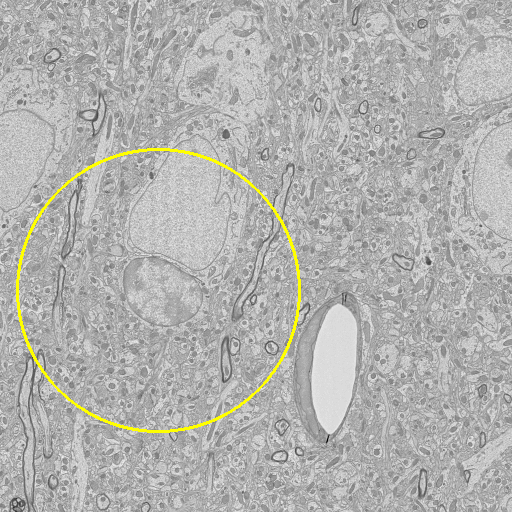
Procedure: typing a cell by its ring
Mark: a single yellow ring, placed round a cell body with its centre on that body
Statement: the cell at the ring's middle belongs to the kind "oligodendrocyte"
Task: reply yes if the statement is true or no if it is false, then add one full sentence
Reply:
Yes, this is true: the cell at the ring's centre in the picture belongs to that kind.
